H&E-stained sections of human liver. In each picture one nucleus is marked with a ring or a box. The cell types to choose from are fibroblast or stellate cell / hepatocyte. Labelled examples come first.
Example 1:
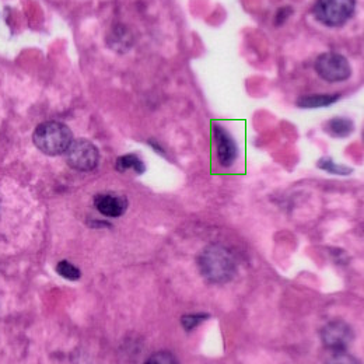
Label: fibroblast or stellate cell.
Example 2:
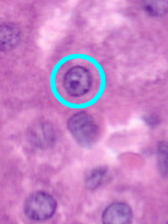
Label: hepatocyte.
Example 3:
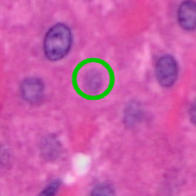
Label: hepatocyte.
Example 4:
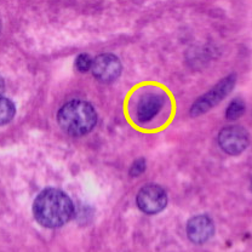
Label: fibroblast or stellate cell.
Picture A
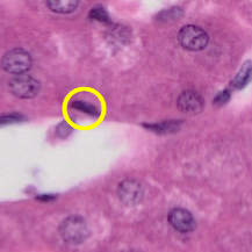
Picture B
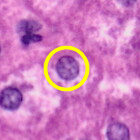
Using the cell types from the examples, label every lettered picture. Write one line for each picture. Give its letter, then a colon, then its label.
A: fibroblast or stellate cell.
B: hepatocyte.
